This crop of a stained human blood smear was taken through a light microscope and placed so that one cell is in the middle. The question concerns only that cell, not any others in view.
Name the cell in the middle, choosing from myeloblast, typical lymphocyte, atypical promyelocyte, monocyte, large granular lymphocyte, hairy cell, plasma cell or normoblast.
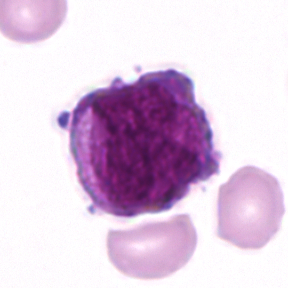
atypical promyelocyte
